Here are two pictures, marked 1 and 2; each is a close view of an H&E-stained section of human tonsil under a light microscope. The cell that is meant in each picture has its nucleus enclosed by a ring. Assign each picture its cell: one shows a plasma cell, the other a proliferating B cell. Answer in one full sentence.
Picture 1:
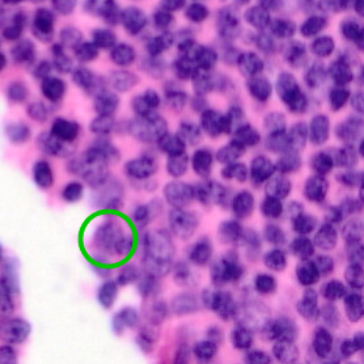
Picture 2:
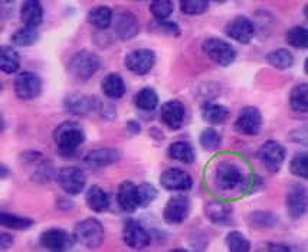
Picture 1 shows a proliferating B cell and picture 2 shows a plasma cell.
